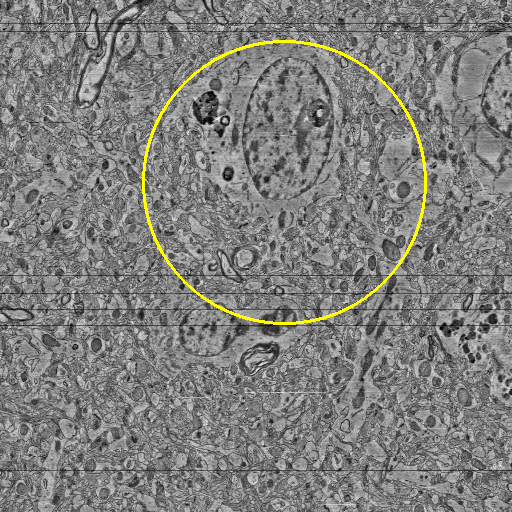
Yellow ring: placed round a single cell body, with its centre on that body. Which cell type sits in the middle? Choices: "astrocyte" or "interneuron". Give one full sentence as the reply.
It is an astrocyte whose cell body sits at the centre of the yellow ring.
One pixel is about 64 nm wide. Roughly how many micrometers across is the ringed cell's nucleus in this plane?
Approximately 9 micrometres long and 6 micrometres wide, so clearly longer than it is wide in this plane.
